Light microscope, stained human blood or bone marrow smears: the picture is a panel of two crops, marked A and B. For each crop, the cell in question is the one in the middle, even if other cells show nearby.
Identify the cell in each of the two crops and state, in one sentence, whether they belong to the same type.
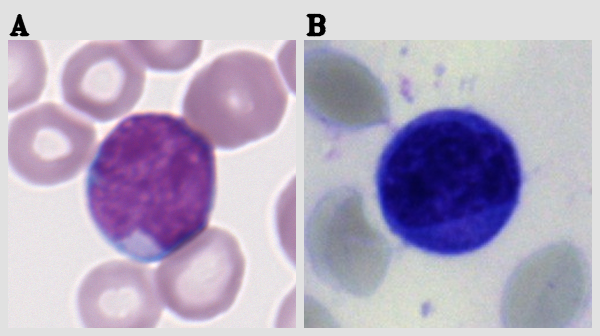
No, crop A shows a blast, with a monocyte shown in crop B.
